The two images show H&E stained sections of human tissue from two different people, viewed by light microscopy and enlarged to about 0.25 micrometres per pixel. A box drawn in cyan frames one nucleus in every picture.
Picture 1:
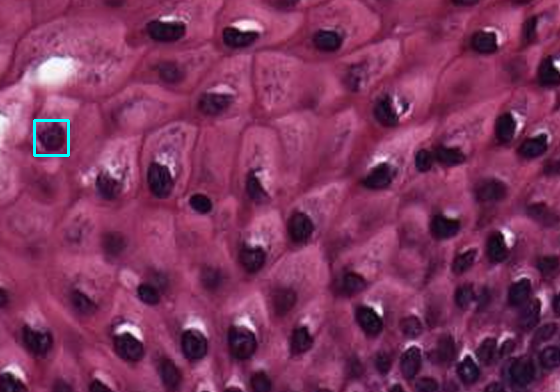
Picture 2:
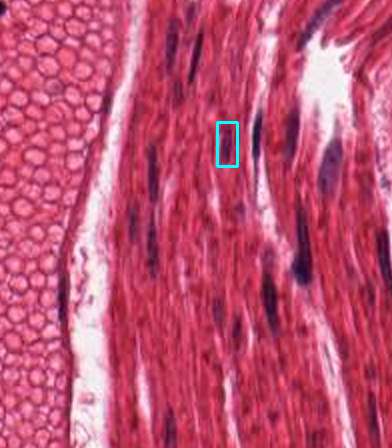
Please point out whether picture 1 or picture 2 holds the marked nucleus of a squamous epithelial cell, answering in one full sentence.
The mark in picture 1 is placed on the nucleus of a squamous epithelial cell.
